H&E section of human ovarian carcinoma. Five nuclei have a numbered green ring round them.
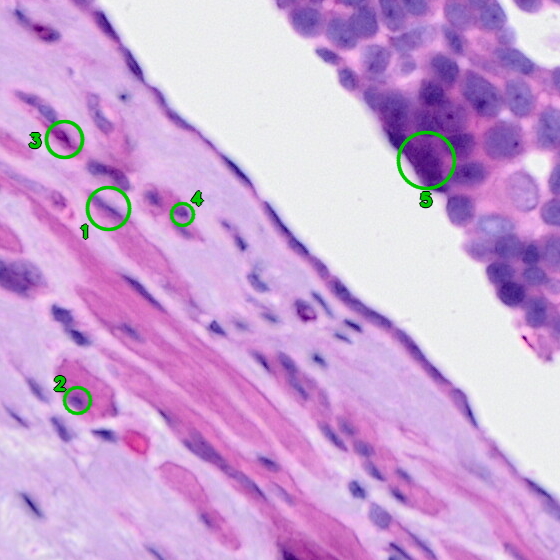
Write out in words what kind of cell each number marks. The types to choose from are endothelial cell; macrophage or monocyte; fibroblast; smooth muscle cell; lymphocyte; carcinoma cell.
Cells 1, 2 and 4 are smooth muscle cells. Cell 3 is an endothelial cell. Cell 5 is a carcinoma cell.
